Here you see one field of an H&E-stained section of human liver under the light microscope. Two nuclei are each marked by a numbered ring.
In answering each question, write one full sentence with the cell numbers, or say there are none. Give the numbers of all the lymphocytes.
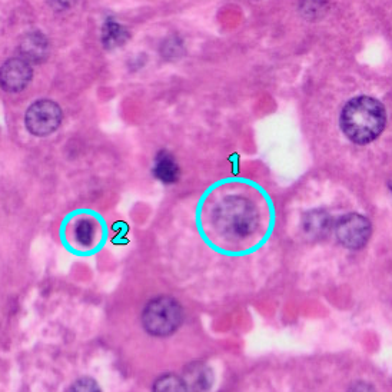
Nothing but cell 2 is a lymphocyte among the numbered ones.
